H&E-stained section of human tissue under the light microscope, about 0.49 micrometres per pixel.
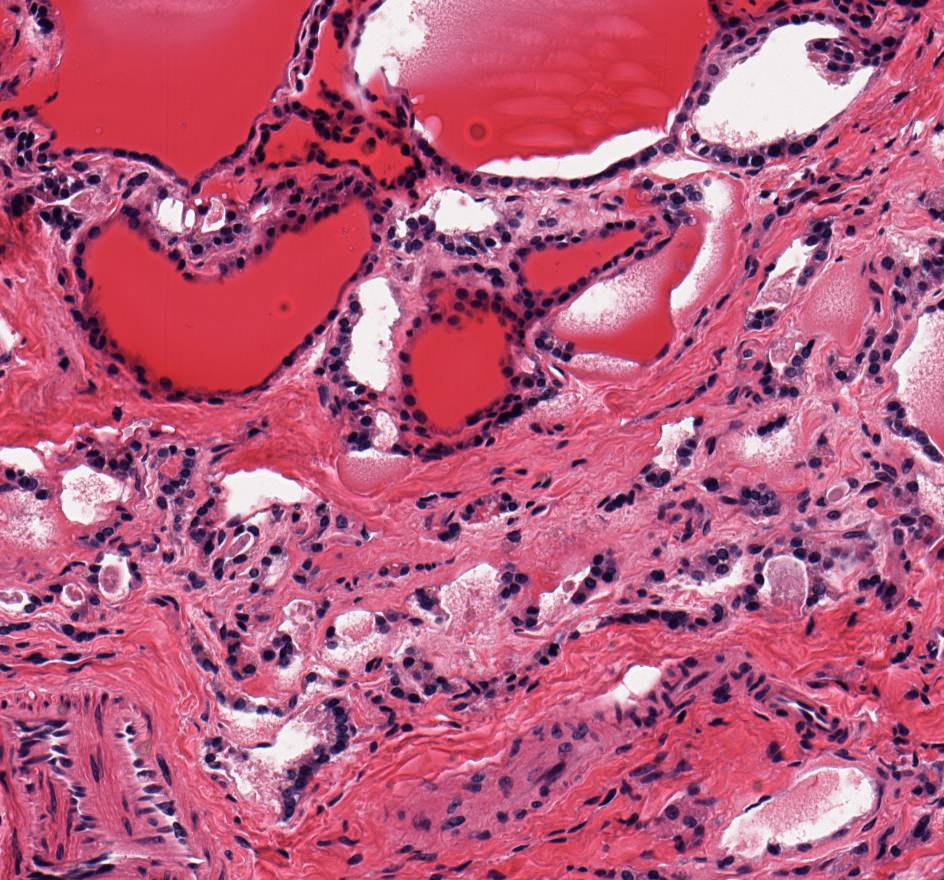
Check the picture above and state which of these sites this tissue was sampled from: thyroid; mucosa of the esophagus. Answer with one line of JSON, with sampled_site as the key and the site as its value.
{"sampled_site": "thyroid"}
